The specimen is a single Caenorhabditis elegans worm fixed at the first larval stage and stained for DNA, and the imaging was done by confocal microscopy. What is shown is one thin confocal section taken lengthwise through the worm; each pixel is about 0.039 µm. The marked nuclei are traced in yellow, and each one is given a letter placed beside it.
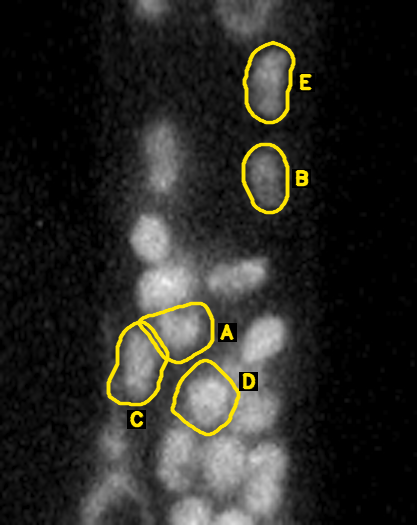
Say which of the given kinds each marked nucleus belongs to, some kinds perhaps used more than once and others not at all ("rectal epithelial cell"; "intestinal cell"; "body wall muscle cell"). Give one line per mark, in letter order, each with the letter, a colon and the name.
A: rectal epithelial cell
B: intestinal cell
C: rectal epithelial cell
D: rectal epithelial cell
E: body wall muscle cell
